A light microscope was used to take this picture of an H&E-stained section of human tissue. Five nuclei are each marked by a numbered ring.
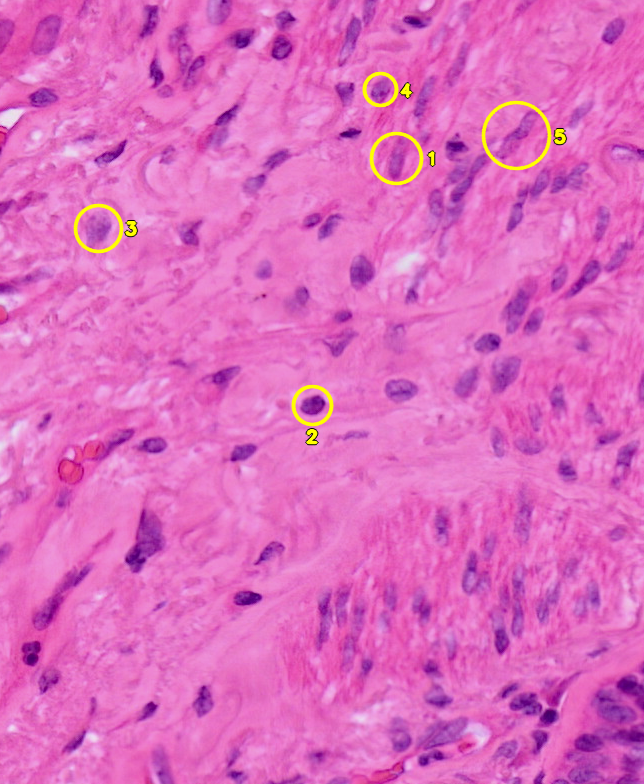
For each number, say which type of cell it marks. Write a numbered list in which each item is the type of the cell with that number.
1. smooth muscle cell or pericyte
2. lymphocyte
3. fibroblast
4. smooth muscle cell or pericyte
5. smooth muscle cell or pericyte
